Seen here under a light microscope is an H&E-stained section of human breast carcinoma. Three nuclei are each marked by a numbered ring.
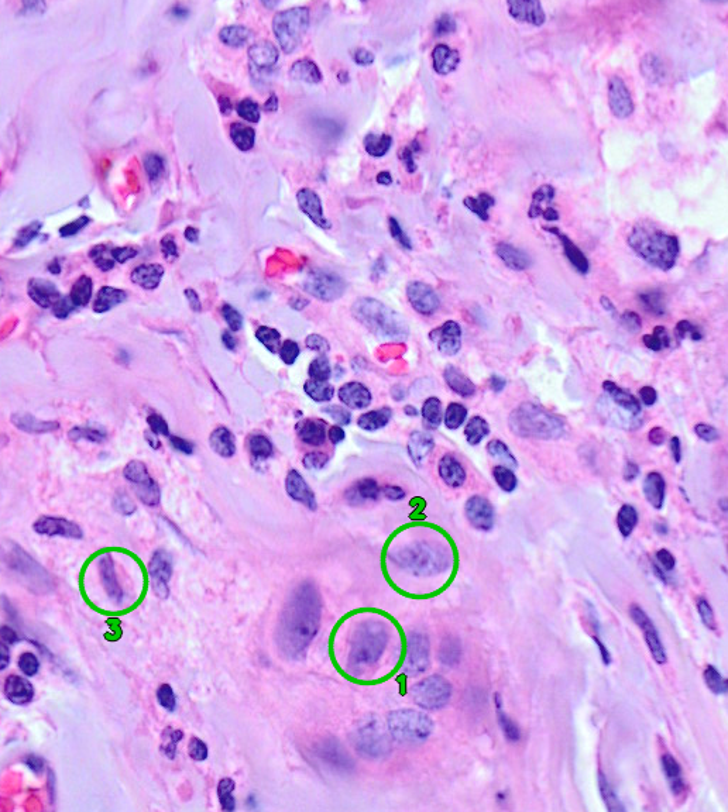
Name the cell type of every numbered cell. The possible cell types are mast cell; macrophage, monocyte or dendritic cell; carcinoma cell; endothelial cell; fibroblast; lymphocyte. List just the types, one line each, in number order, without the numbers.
carcinoma cell
fibroblast
macrophage, monocyte or dendritic cell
